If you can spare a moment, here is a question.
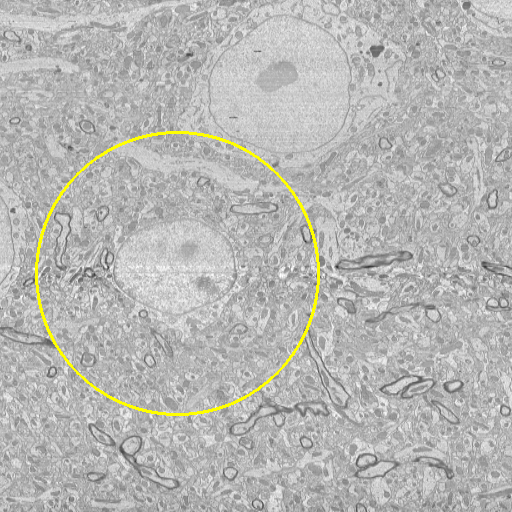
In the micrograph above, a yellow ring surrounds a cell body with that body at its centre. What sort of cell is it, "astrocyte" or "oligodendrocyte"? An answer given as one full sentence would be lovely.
Centred inside the yellow ring, the cell body shown belongs to an astrocyte in this micrograph.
